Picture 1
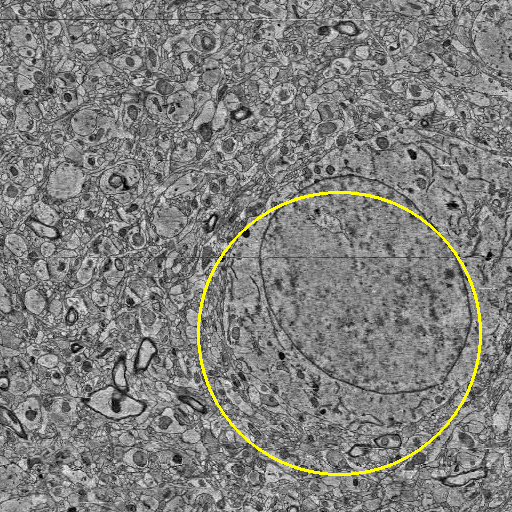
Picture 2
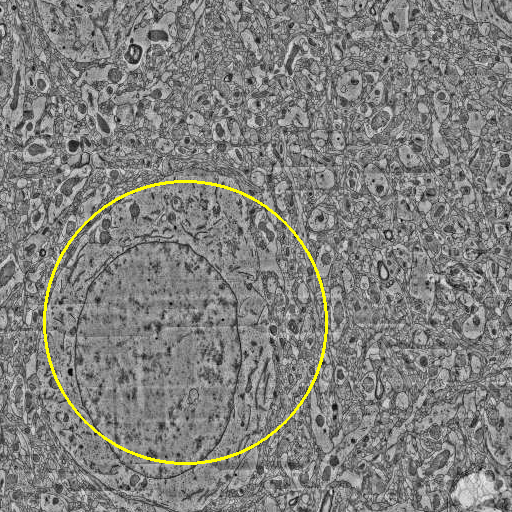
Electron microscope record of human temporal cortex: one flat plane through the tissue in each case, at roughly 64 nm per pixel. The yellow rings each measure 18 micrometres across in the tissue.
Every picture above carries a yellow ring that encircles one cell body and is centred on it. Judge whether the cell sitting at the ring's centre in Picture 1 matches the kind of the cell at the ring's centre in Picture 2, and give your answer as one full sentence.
Yes, the cells centred in the rings of Pictures 1 and 2 belong to one kind.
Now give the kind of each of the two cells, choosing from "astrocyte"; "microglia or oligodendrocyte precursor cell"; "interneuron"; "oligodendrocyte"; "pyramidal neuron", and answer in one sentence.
In both pictures the ring is centred on a pyramidal neuron.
